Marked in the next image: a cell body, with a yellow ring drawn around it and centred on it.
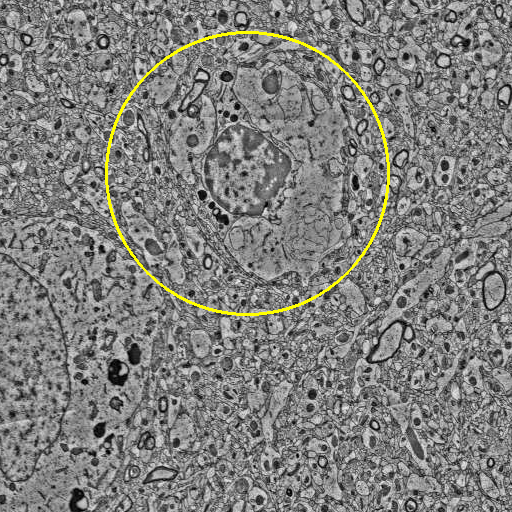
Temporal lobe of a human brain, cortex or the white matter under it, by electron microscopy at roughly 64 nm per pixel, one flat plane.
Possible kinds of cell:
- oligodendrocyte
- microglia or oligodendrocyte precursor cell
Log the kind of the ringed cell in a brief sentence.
The ringed cell body is that of a microglial cell or oligodendrocyte precursor cell.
